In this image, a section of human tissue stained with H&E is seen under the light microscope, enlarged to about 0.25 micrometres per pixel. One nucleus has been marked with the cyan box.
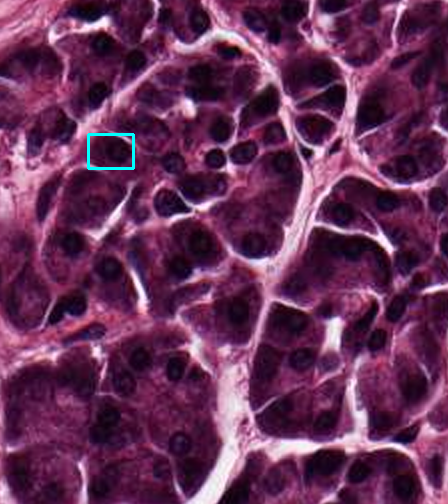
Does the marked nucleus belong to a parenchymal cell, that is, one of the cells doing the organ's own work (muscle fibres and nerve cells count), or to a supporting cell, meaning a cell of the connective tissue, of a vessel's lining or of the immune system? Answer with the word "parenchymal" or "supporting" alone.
parenchymal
